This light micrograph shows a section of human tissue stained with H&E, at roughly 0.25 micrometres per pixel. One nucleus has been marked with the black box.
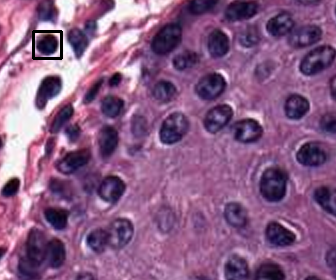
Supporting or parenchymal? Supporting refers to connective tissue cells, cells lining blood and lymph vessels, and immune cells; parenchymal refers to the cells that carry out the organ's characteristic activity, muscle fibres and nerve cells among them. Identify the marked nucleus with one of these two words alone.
supporting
